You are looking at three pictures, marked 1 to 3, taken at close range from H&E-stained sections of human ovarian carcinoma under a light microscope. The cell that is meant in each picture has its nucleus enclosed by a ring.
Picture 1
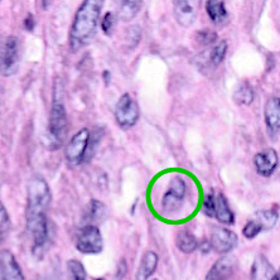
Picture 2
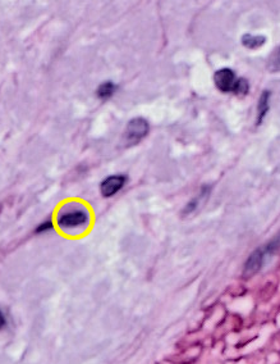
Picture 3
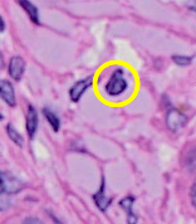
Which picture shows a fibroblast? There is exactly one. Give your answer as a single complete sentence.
It is picture 1 that shows the fibroblast.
